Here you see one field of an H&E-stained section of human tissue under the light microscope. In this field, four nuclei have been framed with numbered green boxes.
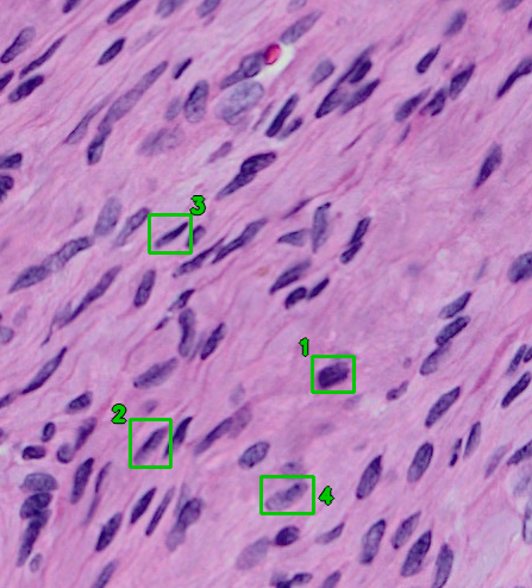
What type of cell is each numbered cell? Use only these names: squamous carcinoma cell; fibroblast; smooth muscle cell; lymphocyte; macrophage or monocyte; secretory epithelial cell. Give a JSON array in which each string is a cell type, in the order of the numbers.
["lymphocyte", "fibroblast", "fibroblast", "fibroblast"]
